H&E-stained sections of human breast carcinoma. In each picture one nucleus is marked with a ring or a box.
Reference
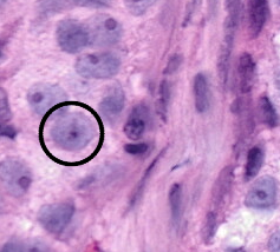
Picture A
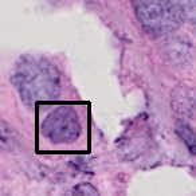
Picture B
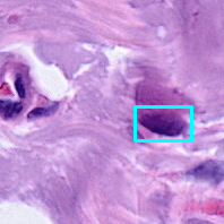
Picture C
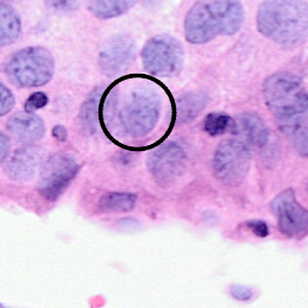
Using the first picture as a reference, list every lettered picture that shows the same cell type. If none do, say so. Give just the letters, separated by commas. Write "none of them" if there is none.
A, C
